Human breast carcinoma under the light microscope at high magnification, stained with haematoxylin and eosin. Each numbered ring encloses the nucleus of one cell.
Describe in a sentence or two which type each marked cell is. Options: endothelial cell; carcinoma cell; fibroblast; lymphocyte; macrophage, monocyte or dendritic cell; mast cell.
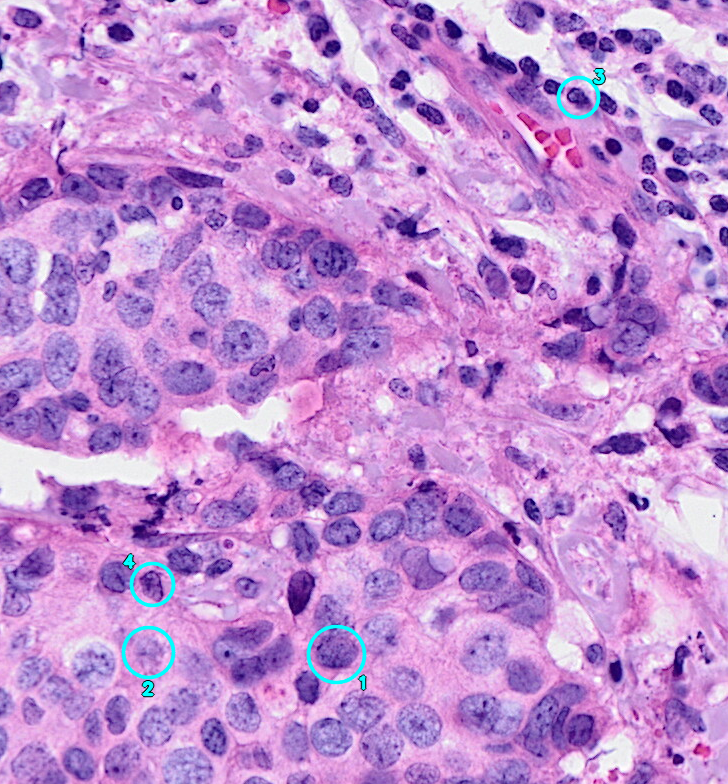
Cells 1, 2 and 4 are carcinoma cells. Cell 3 is a lymphocyte.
